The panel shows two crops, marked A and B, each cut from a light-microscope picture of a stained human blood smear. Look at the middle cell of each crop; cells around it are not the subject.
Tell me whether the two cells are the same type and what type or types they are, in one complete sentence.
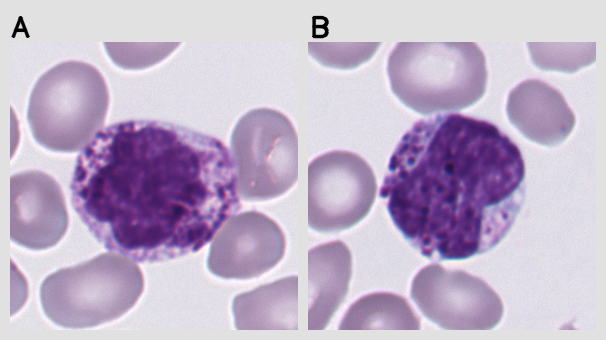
Yes, the central cells of both crops are basophils.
